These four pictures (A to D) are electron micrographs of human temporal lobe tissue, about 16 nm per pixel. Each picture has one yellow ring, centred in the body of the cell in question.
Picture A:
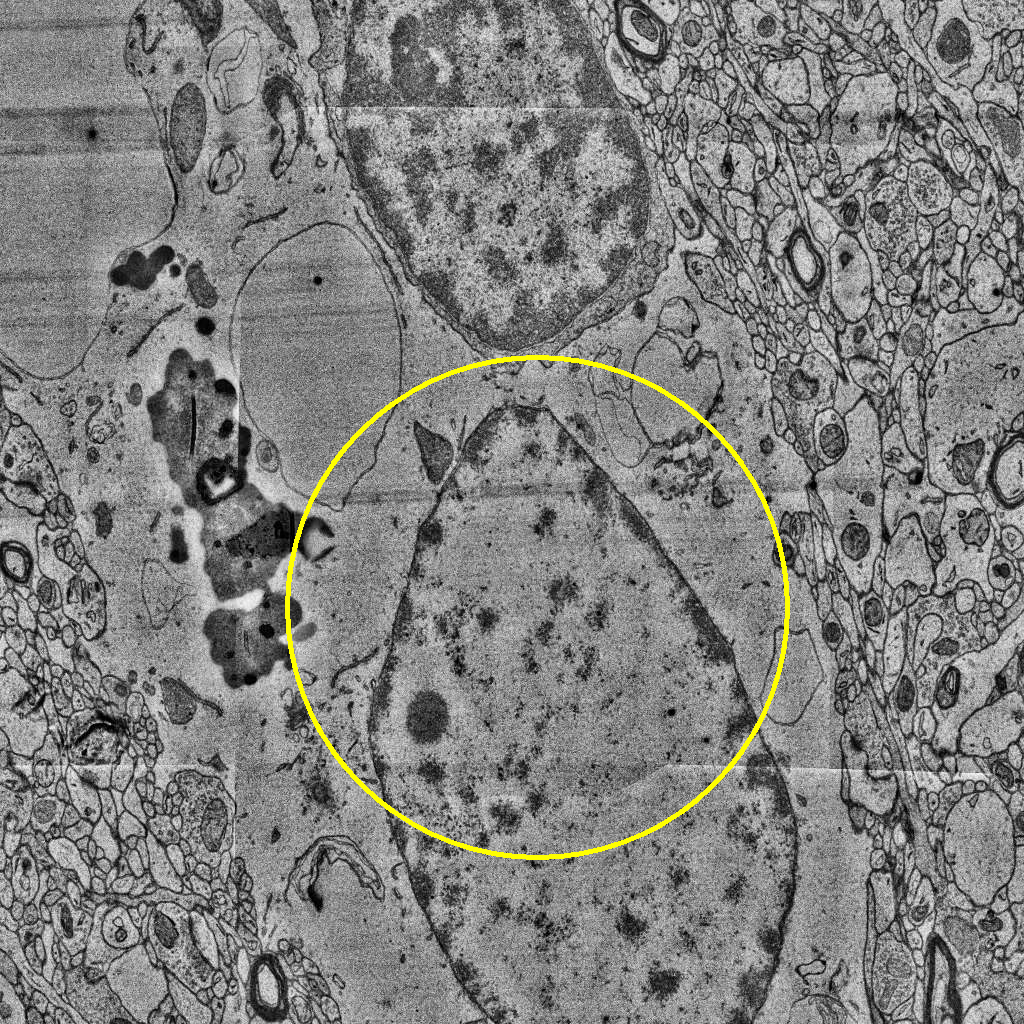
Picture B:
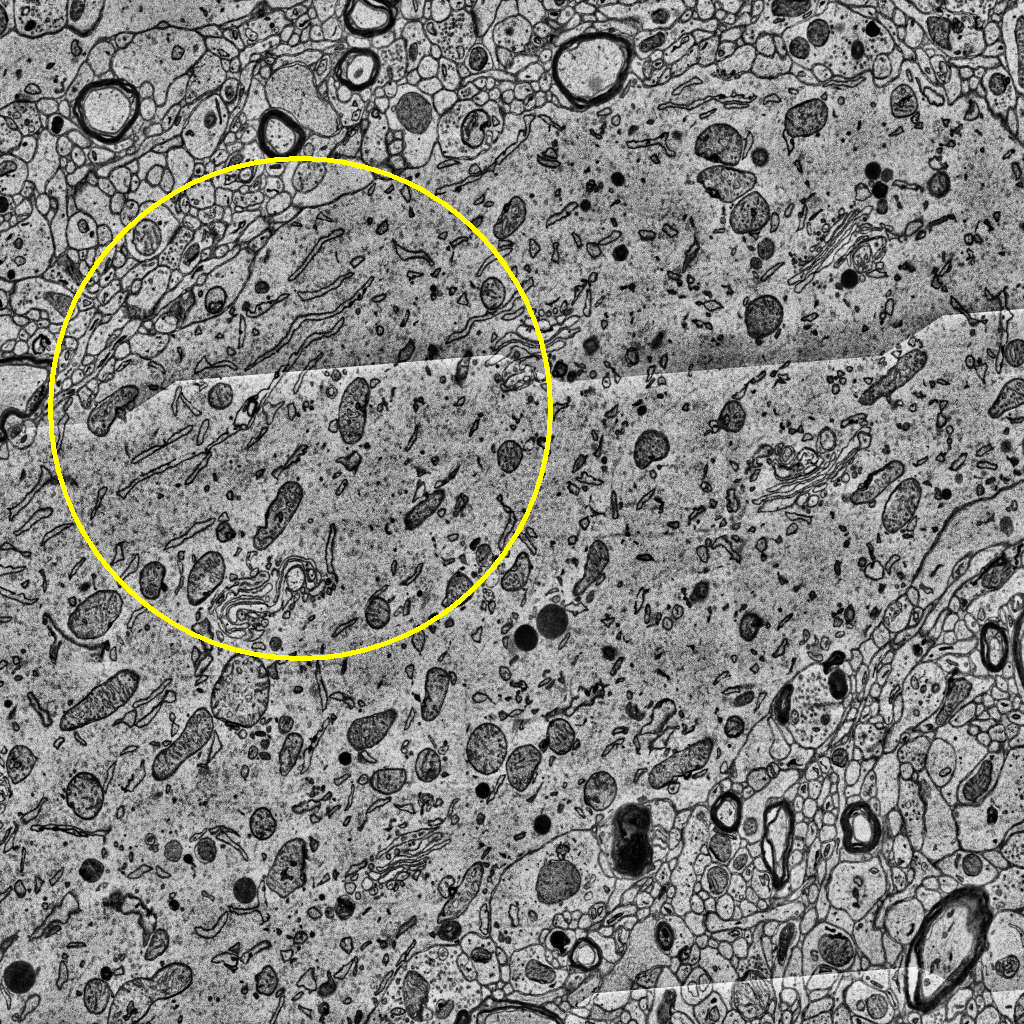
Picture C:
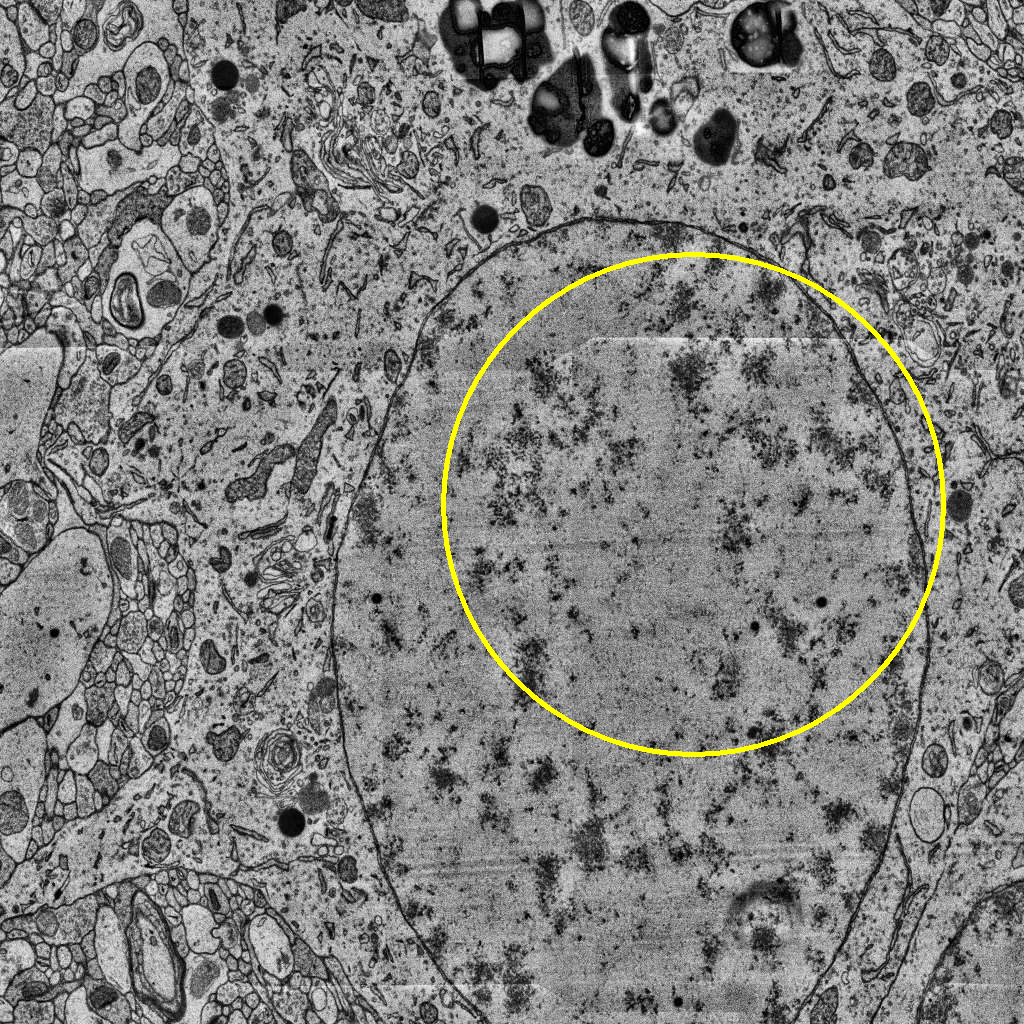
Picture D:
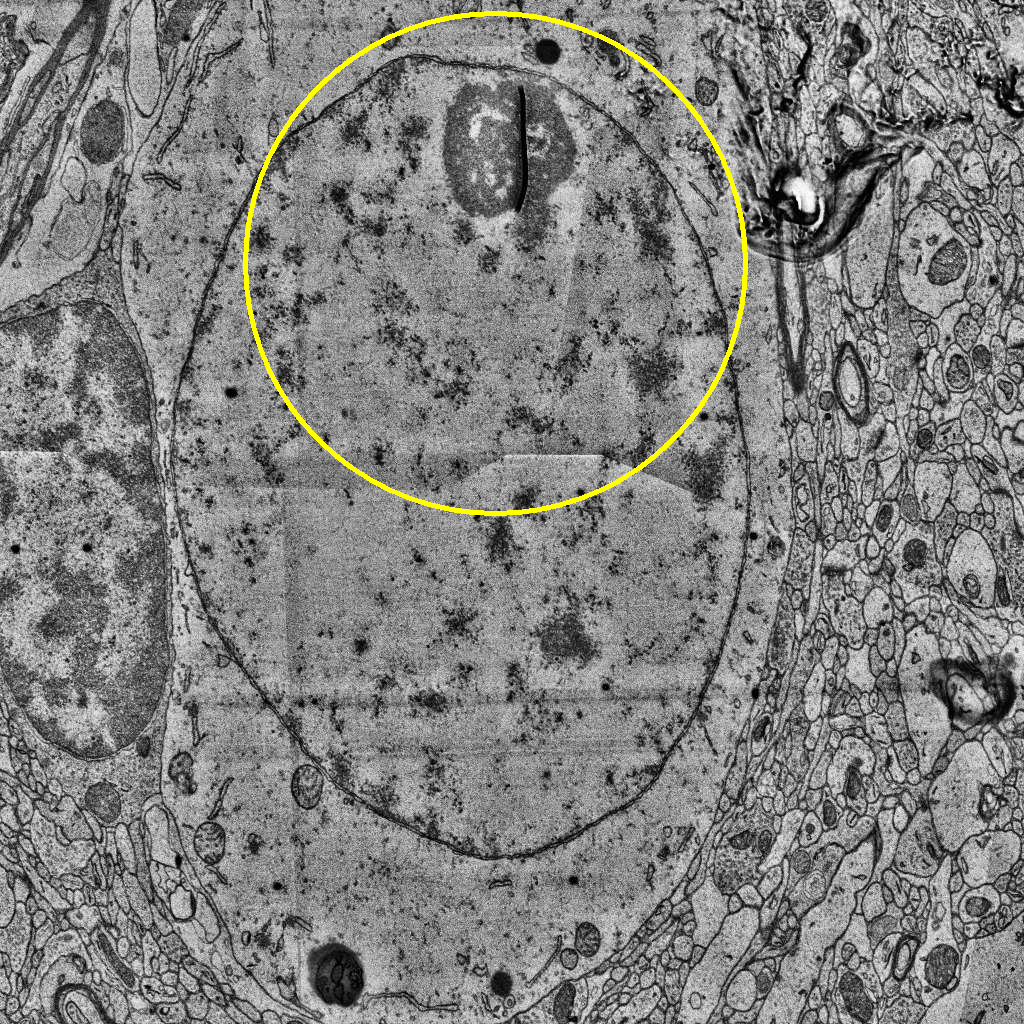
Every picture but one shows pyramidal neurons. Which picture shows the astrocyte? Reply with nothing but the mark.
A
